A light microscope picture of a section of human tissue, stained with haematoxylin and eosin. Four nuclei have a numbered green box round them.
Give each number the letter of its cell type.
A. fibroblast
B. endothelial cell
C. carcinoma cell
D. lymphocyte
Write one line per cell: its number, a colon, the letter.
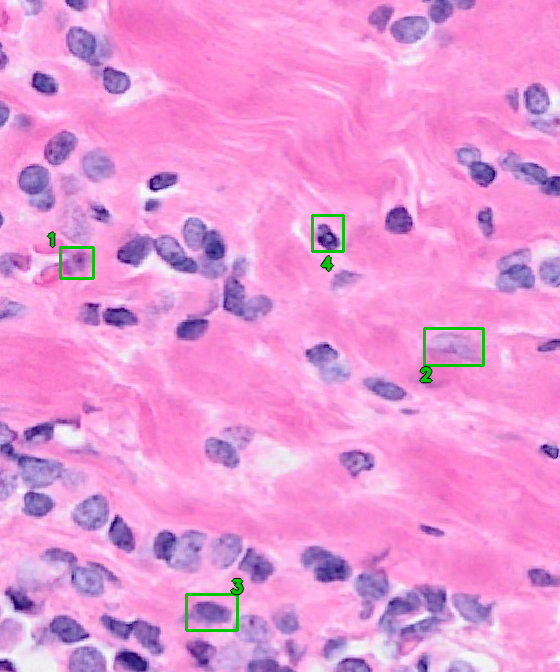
1: B
2: A
3: C
4: D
